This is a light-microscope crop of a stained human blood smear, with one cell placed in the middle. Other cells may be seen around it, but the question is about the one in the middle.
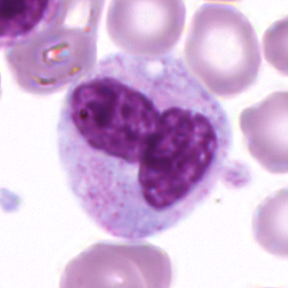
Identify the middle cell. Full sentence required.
At the crop's centre, the cell is a band neutrophil.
